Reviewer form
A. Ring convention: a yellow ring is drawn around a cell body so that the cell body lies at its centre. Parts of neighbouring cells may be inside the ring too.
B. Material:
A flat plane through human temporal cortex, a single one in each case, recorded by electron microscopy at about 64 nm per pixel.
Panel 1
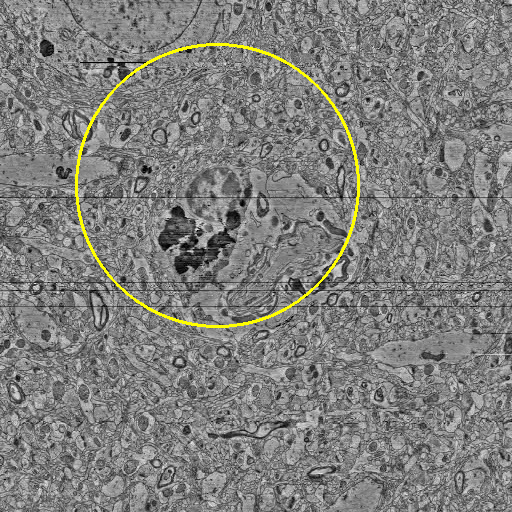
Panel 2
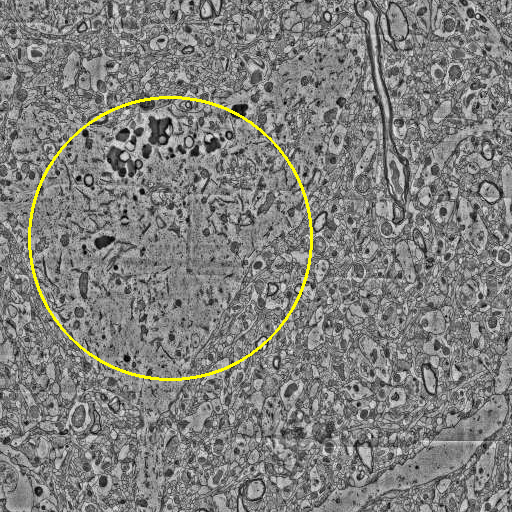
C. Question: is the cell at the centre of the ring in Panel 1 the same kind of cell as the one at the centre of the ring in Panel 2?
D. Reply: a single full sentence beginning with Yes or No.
No, the cells in Panel 1 and Panel 2 are two kinds of cell.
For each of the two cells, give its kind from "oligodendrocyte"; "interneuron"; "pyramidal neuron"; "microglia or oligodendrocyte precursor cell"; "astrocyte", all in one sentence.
The first picture has an oligodendrocyte in its ring, the second has a pyramidal neuron.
